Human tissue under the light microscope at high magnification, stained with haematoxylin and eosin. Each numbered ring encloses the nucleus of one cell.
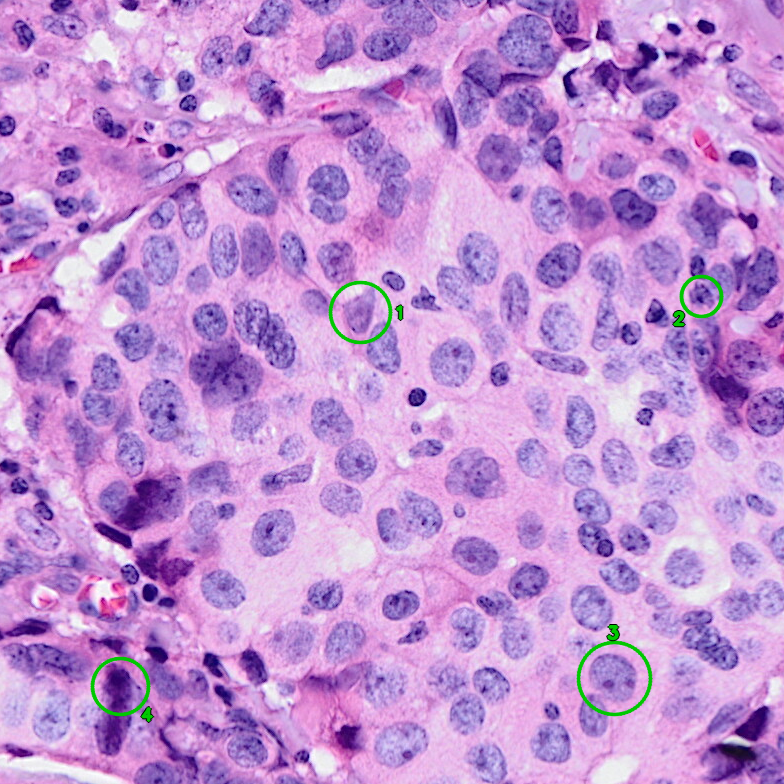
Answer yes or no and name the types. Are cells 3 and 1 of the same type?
Yes, both are carcinoma cells.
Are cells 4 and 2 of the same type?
No, cell 4 is a carcinoma cell and cell 2 is a lymphocyte.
